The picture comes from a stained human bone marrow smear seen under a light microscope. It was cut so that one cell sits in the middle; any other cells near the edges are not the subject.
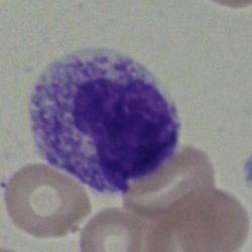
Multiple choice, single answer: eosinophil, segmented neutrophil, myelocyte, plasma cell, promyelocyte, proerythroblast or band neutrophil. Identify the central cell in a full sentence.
The cell of interest, located centrally, is a myelocyte.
